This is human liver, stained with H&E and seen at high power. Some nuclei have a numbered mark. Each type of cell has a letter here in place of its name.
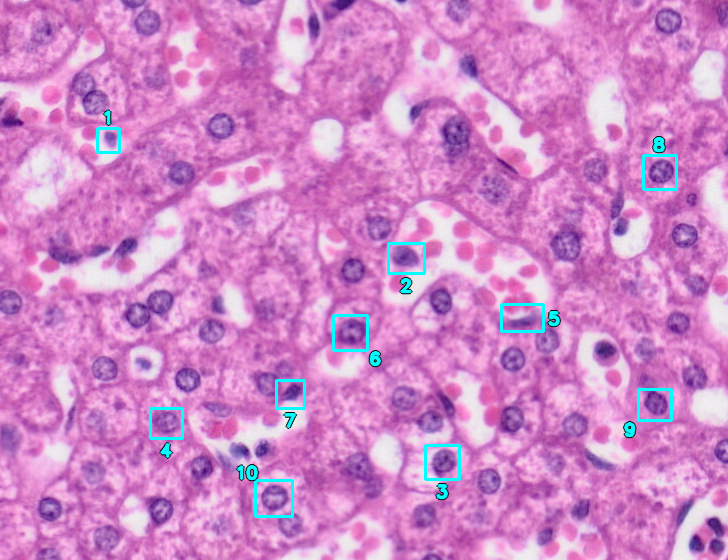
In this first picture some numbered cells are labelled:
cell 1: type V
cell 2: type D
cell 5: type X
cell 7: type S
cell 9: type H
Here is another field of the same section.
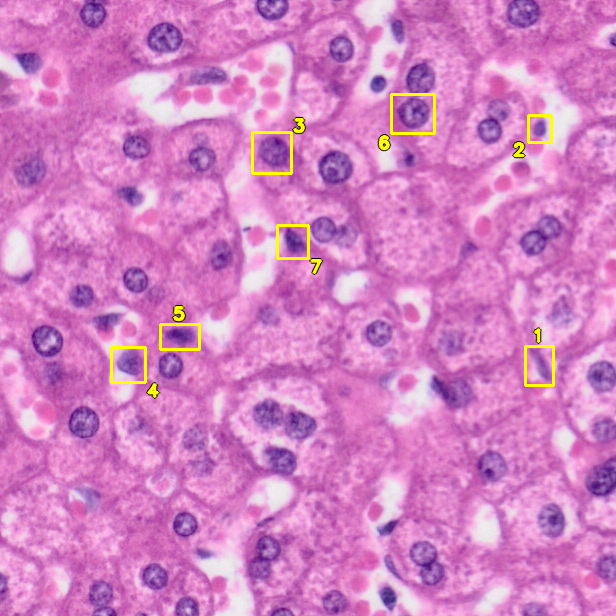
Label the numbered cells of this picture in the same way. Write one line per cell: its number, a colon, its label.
1: type D
2: type V
3: type H
4: type X
5: type S
6: type H
7: type S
